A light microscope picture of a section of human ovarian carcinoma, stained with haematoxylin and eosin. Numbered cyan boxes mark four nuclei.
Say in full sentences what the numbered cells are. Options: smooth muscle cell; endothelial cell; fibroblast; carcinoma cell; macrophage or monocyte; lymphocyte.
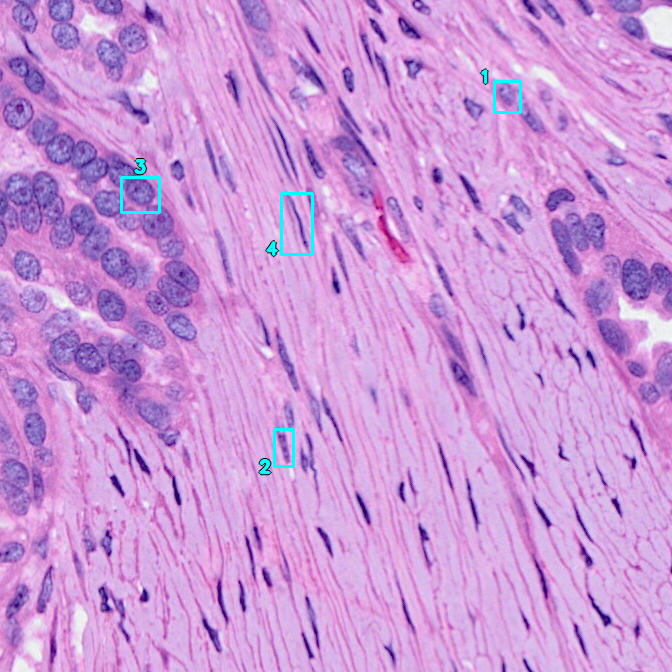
Cells 1, 2 and 4 are fibroblasts. Cell 3 is a carcinoma cell.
